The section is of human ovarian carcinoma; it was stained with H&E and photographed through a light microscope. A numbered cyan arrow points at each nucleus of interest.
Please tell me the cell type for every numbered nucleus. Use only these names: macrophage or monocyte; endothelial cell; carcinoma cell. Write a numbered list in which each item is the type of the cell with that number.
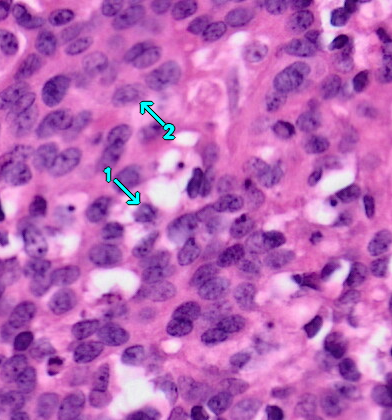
1. macrophage or monocyte
2. carcinoma cell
